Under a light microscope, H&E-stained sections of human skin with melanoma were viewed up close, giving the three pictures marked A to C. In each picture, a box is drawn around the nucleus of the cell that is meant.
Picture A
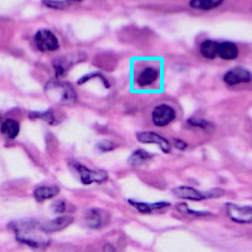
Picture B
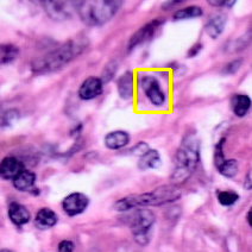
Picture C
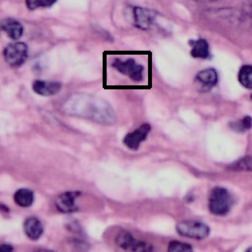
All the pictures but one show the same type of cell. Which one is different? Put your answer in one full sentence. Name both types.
The different one is picture A; it shows a plasma cell, whereas all the others show lymphocytes.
